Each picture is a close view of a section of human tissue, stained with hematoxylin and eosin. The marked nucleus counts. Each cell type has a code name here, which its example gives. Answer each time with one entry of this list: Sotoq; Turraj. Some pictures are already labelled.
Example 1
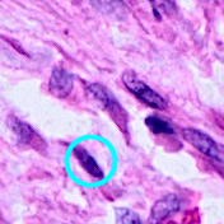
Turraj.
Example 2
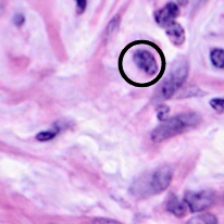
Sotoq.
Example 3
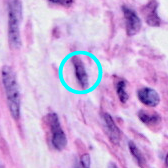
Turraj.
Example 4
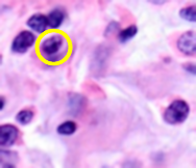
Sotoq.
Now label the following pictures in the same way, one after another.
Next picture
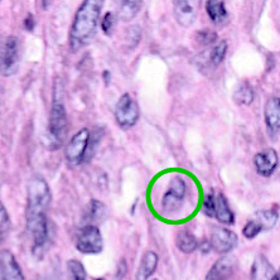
Turraj.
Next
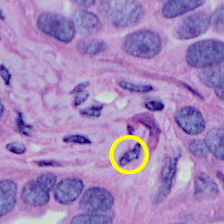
Turraj.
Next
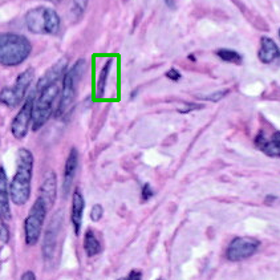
Turraj.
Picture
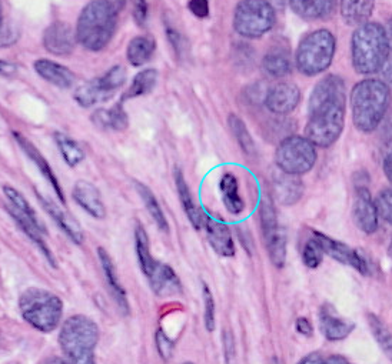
Sotoq.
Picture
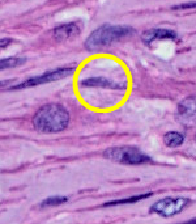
Turraj.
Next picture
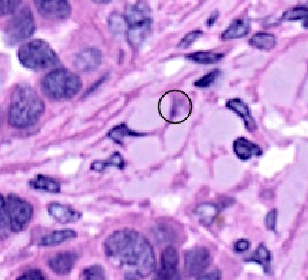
Turraj.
